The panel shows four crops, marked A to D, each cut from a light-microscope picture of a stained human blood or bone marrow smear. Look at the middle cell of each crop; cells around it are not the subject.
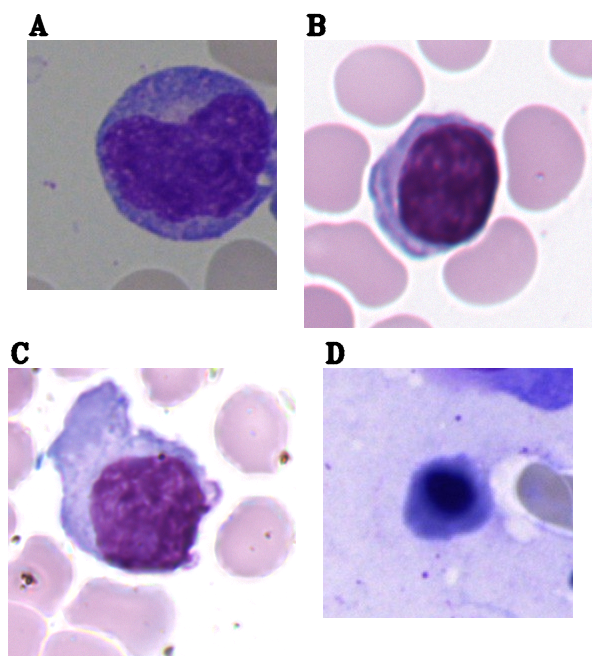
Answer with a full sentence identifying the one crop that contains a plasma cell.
Crop C alone, of all the crops, shows a plasma cell.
